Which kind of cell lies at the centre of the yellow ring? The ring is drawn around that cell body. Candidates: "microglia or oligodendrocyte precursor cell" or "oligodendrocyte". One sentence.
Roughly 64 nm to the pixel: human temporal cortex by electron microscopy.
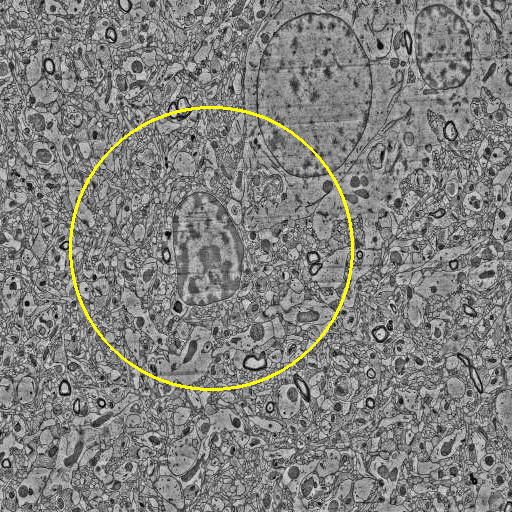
Lying at the centre of the ring is a microglial cell or oligodendrocyte precursor cell.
